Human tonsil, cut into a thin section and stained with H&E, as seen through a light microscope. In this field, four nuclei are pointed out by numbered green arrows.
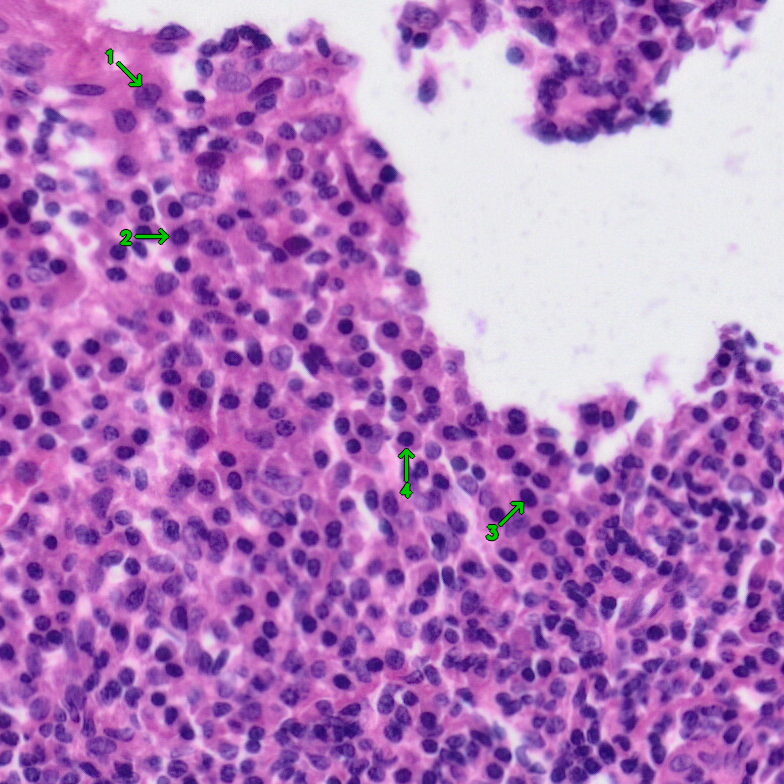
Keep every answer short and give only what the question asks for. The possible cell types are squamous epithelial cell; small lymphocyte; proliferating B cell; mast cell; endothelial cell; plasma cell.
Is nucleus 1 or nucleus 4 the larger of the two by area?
1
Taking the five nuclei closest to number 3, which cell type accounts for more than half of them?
plasma cell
